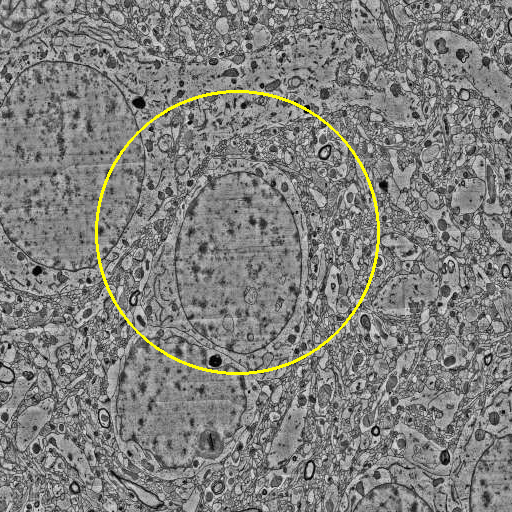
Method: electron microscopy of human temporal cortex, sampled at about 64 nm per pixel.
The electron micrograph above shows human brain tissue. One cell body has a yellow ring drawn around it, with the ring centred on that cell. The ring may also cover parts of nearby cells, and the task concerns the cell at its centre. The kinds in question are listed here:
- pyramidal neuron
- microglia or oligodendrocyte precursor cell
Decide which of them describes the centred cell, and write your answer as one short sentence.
The centred cell is a pyramidal neuron.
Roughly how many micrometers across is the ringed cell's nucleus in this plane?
The nucleus measures about 12 by 8 micrometres in this plane.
